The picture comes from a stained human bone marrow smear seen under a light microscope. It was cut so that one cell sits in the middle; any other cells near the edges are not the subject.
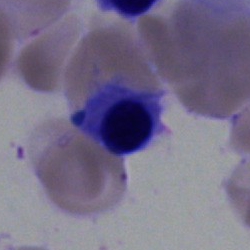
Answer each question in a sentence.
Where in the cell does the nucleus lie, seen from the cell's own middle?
Toward the lower right of the cell lies its nucleus.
